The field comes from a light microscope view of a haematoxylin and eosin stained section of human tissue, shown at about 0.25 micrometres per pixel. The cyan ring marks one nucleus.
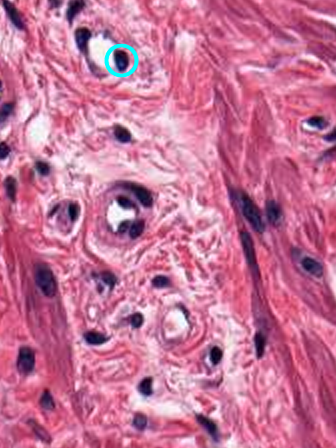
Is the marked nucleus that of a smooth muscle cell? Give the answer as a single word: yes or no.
no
